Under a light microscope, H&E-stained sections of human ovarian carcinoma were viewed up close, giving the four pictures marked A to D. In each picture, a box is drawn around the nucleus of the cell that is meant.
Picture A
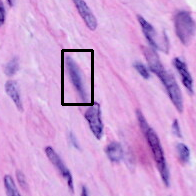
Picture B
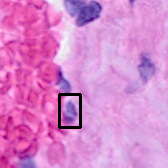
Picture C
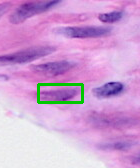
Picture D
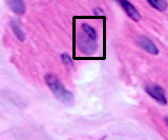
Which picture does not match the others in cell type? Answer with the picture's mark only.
B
